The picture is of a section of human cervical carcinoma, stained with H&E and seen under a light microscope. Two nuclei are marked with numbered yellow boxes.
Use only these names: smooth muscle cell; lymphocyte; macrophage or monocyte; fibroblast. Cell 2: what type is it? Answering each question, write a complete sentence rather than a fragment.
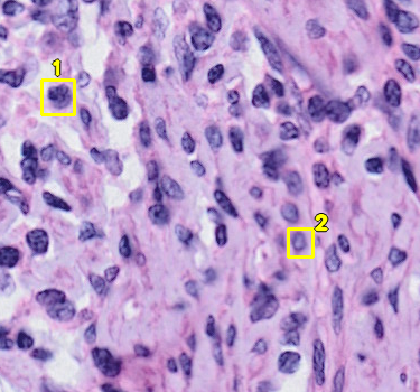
The cell given label 2 is a smooth muscle cell.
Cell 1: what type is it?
Corresponding to a lymphocyte is the cell labelled 1.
